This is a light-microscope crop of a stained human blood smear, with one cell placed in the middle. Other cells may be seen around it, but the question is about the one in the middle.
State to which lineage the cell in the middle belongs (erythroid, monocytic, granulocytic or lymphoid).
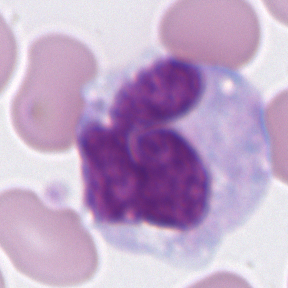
monocytic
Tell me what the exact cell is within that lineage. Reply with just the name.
monocyte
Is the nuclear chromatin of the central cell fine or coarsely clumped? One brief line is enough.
In this cell the chromatin is fine rather than coarsely clumped.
